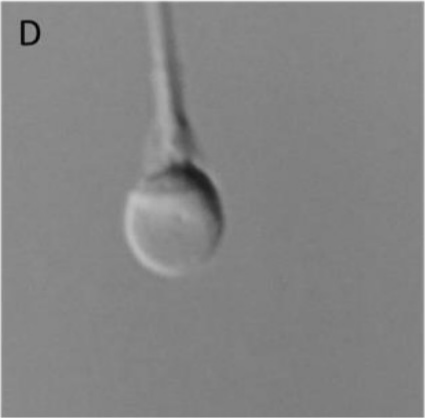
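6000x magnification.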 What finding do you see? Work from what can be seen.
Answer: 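Wide head. The head is broad and nearly round in outline. The head is about as wide as it is long.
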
